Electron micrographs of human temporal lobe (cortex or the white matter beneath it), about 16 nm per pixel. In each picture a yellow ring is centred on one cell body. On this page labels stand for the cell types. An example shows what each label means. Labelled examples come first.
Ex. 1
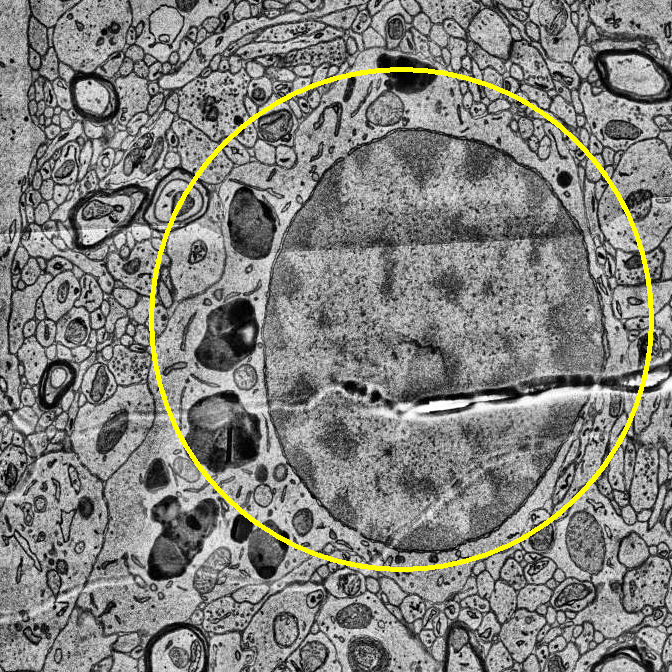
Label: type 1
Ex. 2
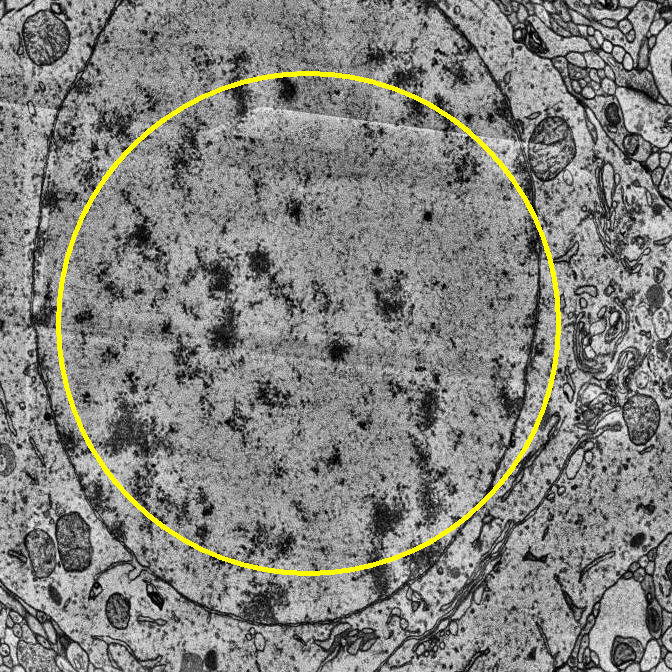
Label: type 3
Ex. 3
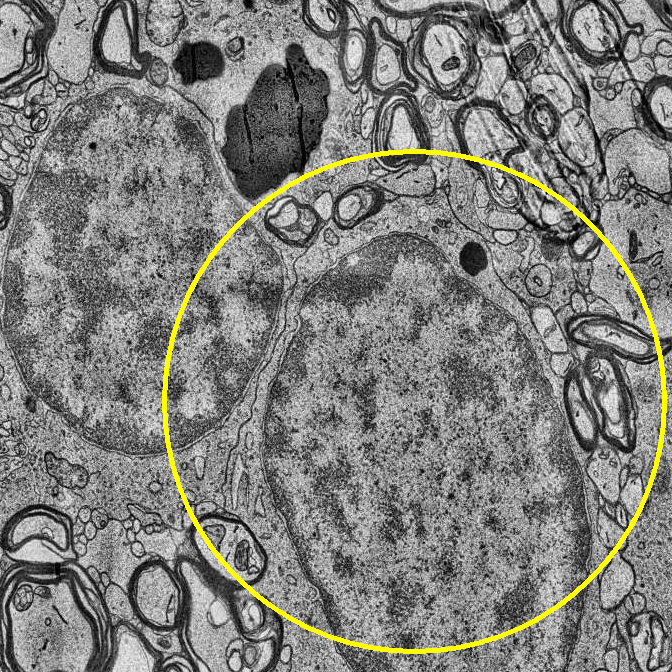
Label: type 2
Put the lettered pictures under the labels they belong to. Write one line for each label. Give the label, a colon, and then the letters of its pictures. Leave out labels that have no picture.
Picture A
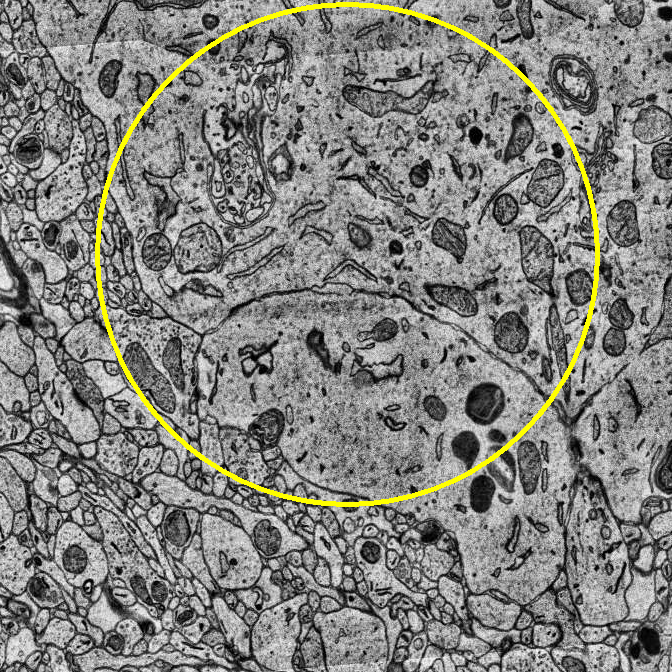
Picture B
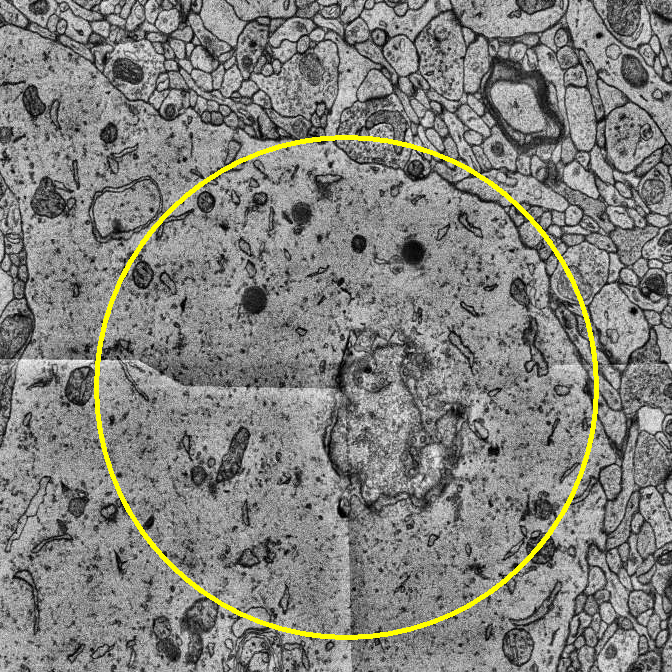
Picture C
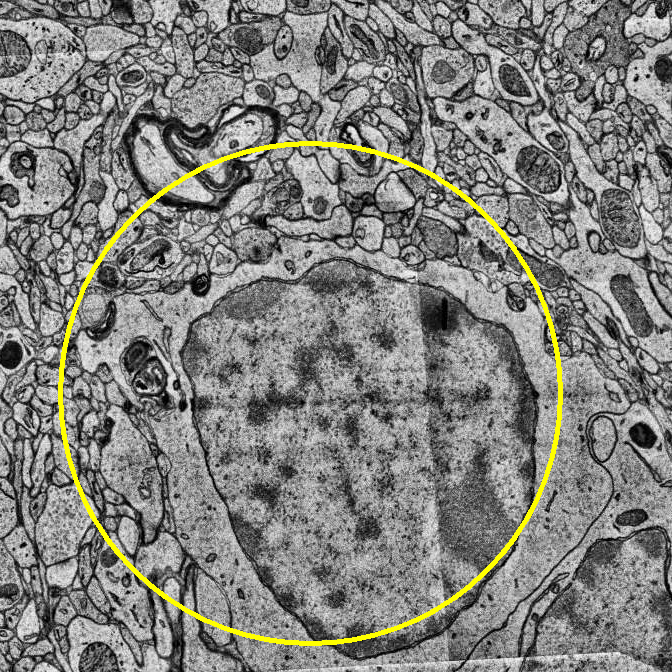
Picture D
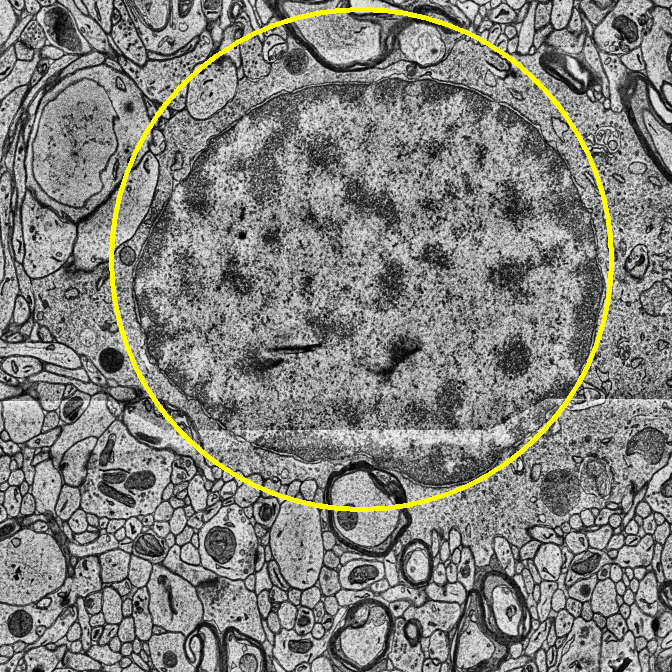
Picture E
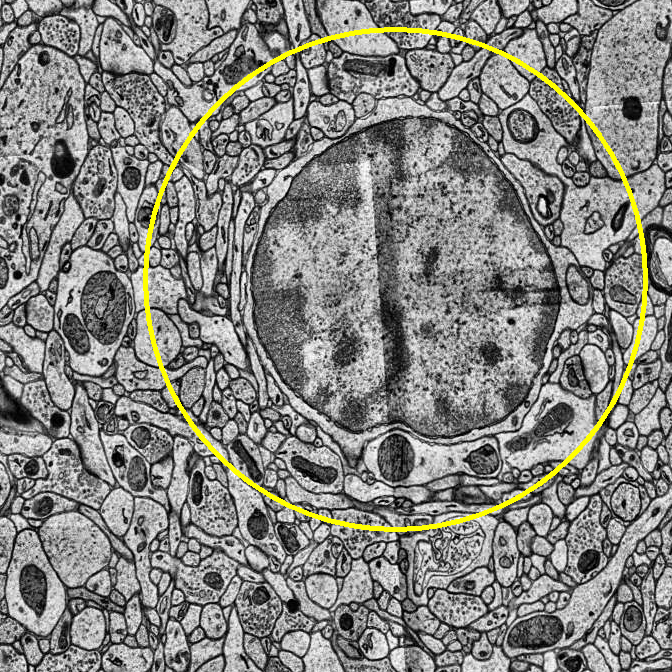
type 1: A, C, E
type 3: B
type 2: D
